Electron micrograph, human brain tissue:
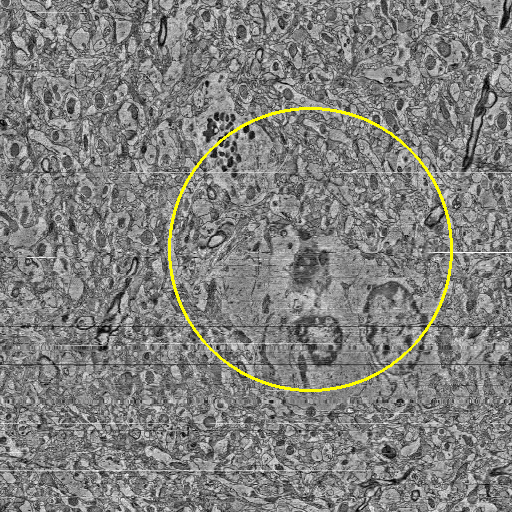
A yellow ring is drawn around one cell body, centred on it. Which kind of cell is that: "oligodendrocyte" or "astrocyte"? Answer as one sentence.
It is an oligodendrocyte at the centre of the ring.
